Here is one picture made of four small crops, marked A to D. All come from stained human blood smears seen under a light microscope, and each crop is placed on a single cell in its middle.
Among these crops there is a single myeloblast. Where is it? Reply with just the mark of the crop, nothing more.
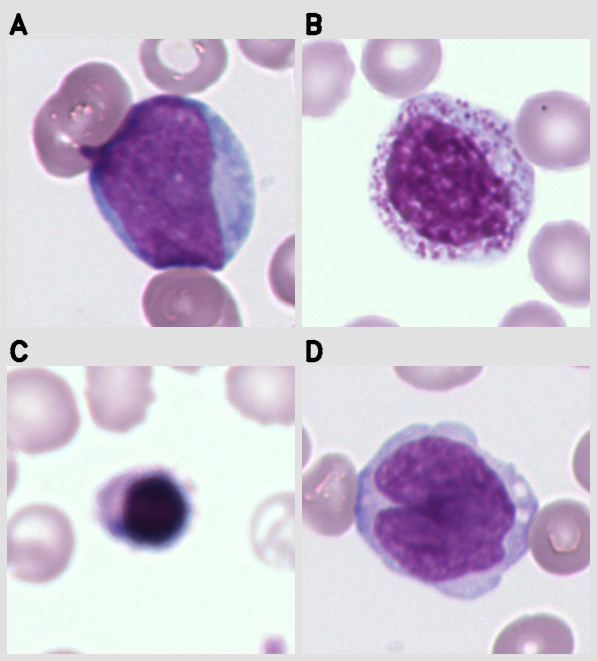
A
